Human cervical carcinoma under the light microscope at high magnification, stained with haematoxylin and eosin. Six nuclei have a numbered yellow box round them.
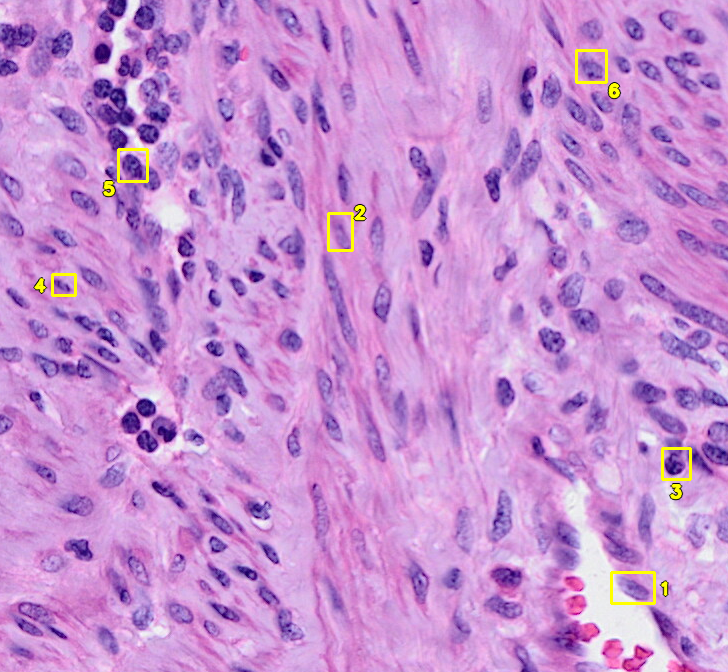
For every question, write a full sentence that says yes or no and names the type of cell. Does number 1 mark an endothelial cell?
Yes, in this section the cell with number 1 is an endothelial cell.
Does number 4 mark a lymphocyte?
No, cell 4 is not a lymphocyte; a smooth muscle cell is correct.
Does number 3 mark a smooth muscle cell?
No, the cell given the number 3 is a lymphocyte, so not a smooth muscle cell.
